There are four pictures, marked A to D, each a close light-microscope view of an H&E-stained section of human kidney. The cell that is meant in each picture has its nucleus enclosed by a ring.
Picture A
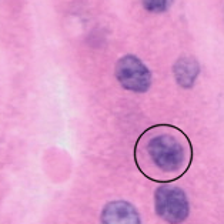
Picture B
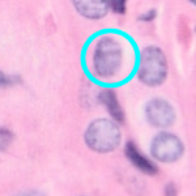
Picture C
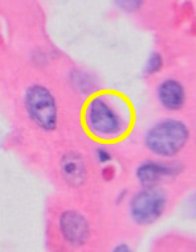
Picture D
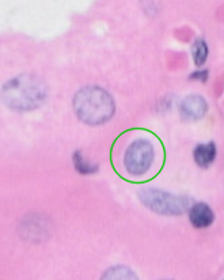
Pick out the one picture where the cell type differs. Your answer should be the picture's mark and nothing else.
A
